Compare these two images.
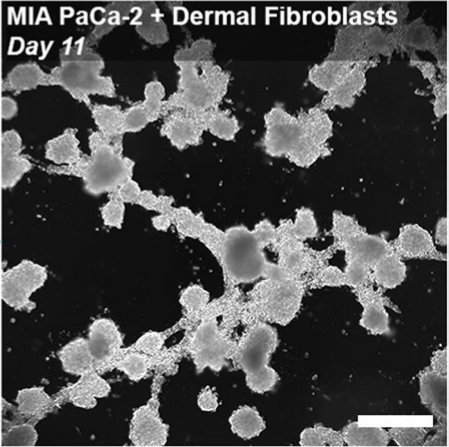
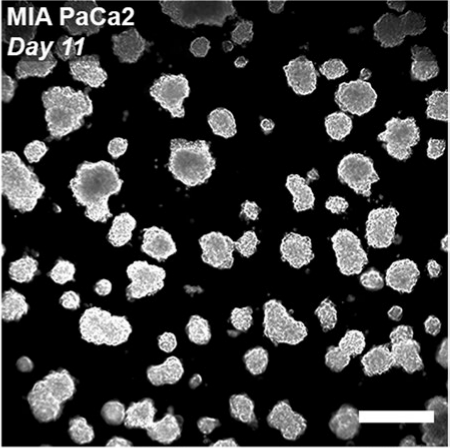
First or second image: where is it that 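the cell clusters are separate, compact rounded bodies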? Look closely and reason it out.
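First image: irregular masses linked by branching strands into a network. Second image: discrete, rounded clusters lying apart from one another. That points to this answer: the second image.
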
